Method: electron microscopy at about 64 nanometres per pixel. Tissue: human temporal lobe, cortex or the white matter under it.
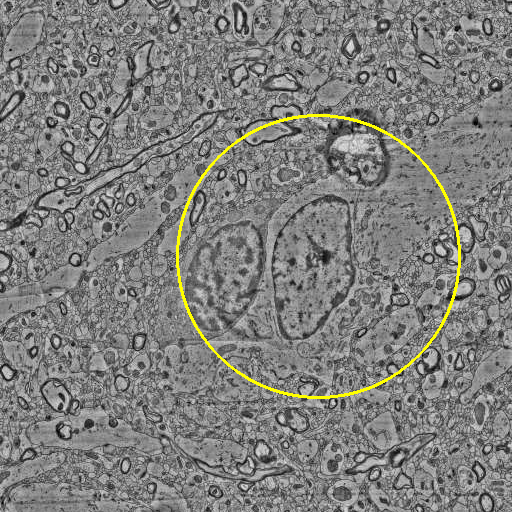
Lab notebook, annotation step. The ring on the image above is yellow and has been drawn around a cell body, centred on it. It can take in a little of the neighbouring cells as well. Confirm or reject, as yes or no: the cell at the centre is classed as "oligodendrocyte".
No, the cell is of another class.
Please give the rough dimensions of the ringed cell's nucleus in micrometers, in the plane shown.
The nucleus measures about 9 by 5 micrometres, so it is clearly longer than it is wide in this plane.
